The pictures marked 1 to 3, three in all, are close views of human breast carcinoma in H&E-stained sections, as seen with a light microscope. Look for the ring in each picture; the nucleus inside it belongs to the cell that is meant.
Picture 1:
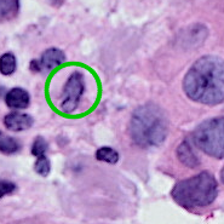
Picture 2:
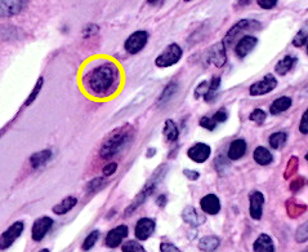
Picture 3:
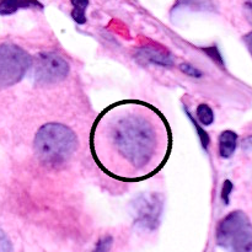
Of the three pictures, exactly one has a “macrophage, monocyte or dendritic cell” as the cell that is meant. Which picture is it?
1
